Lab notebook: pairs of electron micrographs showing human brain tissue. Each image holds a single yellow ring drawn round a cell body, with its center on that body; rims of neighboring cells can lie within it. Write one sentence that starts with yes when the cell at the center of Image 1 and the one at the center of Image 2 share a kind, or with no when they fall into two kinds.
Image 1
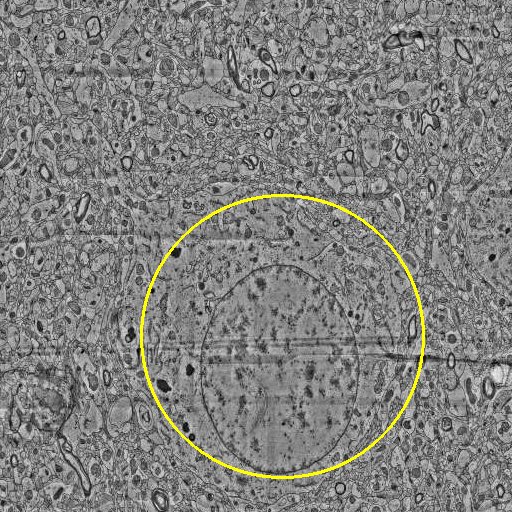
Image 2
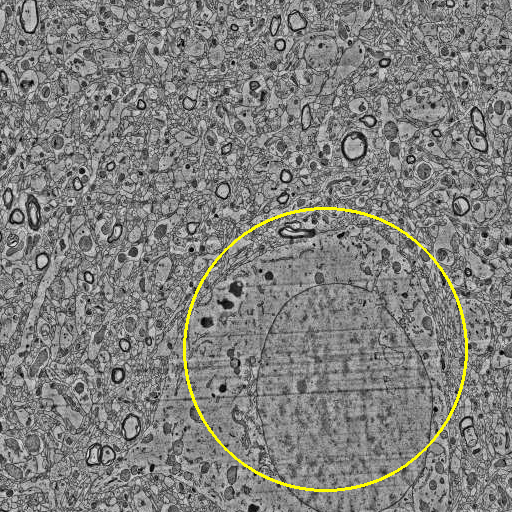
Yes, the centered cell in Image 1 and the centered cell in Image 2 are of one kind.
